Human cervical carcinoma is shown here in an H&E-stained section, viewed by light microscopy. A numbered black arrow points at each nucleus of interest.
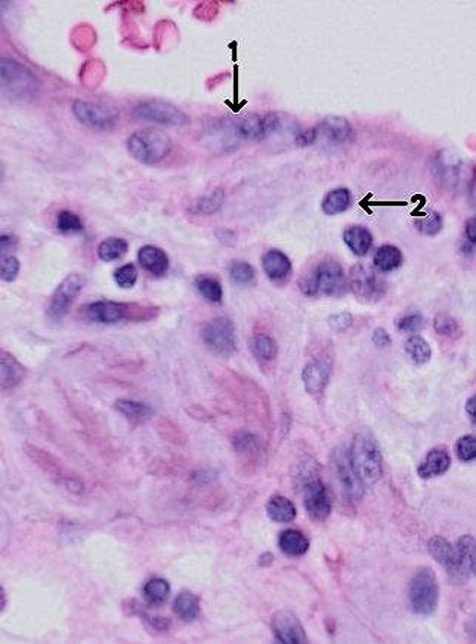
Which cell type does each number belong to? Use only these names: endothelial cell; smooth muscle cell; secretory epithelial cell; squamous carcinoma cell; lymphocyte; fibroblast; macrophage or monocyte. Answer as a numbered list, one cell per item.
1. endothelial cell
2. lymphocyte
